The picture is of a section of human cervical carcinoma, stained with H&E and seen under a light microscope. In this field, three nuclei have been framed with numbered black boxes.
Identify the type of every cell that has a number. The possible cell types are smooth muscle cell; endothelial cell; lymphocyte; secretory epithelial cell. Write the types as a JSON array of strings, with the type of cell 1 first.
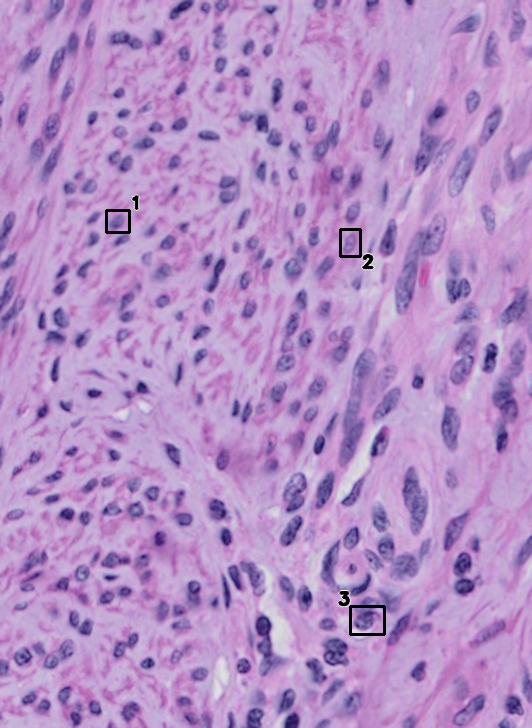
["smooth muscle cell", "smooth muscle cell", "lymphocyte"]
